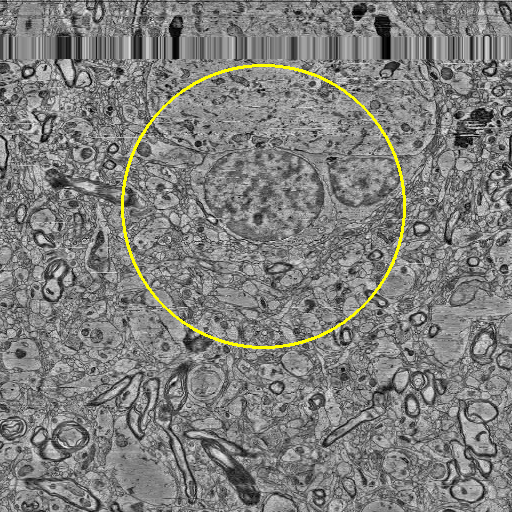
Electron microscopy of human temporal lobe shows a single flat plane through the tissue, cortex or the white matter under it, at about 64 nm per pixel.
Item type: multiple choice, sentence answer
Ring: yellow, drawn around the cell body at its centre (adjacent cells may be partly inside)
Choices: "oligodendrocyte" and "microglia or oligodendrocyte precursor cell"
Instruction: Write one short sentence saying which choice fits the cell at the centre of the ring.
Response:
This ring is drawn around an oligodendrocyte.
